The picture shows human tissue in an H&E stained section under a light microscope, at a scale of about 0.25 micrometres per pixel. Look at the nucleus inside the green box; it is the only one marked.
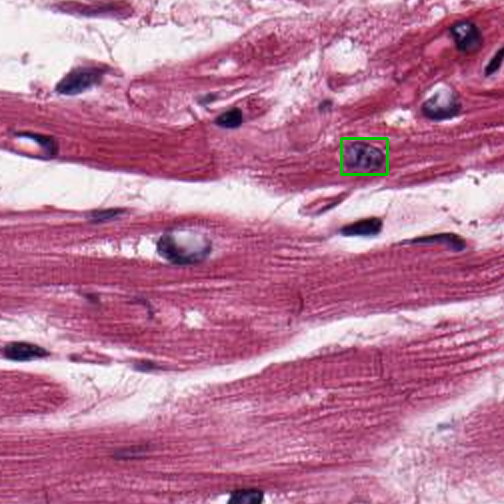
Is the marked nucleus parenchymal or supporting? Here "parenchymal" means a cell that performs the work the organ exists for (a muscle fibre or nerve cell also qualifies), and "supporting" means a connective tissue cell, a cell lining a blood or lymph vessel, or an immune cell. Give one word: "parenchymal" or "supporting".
parenchymal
